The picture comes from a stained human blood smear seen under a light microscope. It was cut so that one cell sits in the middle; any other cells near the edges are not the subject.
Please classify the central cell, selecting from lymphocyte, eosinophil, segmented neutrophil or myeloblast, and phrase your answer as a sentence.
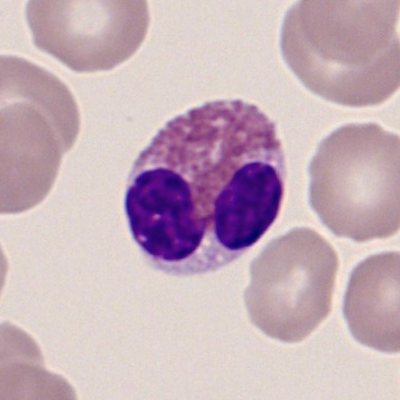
The cell shown in the center of this light-microscope crop is an eosinophil.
